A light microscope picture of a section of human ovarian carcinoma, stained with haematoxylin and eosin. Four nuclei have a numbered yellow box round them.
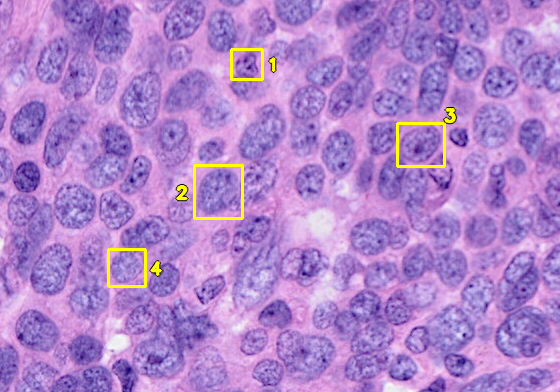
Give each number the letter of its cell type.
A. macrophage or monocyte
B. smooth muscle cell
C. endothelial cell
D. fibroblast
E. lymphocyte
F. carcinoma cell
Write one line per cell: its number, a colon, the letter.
1: A
2: F
3: F
4: F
